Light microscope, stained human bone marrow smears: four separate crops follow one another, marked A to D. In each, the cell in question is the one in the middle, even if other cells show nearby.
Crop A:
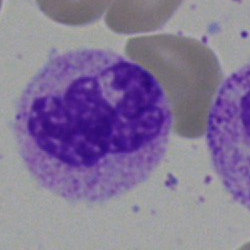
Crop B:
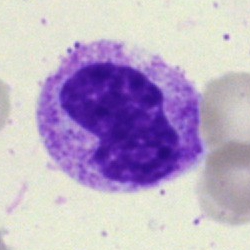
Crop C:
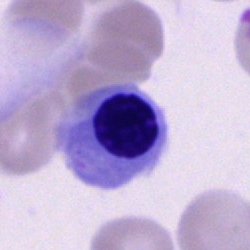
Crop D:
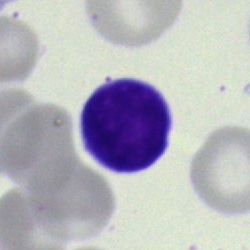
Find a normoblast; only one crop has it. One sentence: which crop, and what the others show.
Crop C is recognised as a normoblast, whereas crop A is a segmented neutrophil, crop B is a band neutrophil and crop D is a lymphocyte.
